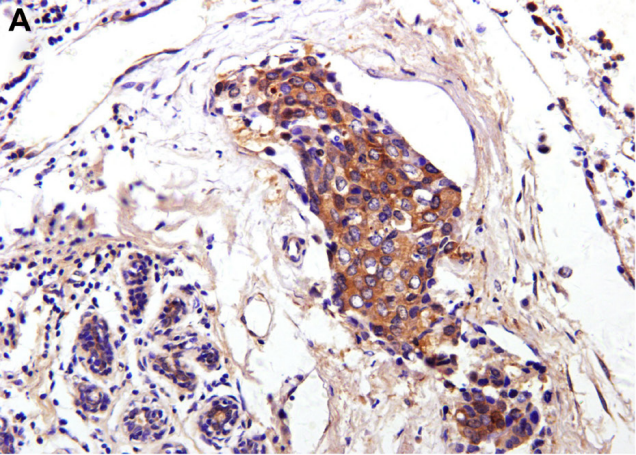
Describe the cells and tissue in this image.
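A solid nest of invasive breast cancer cells lies in loose, pale stroma, its large cells crowded together with enlarged, irregular blue nuclei and abundant cytoplasm stained deep brown. At lower left, small lobular ducts with smaller, regular nuclei are far less stained, making the tumour nest stand out.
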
